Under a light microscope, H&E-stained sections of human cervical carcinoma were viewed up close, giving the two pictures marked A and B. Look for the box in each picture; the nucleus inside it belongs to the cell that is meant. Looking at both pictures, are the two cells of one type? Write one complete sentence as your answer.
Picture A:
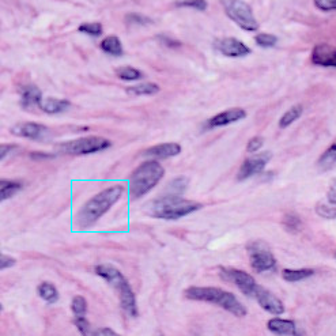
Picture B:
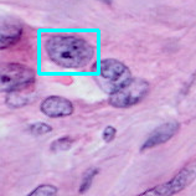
No. Picture A shows a smooth muscle cell, but picture B shows an endothelial cell.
